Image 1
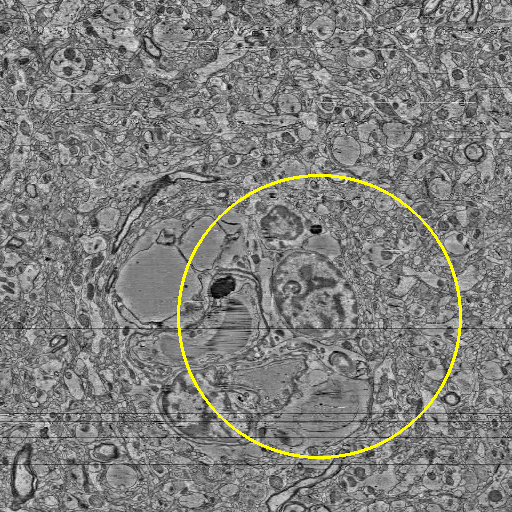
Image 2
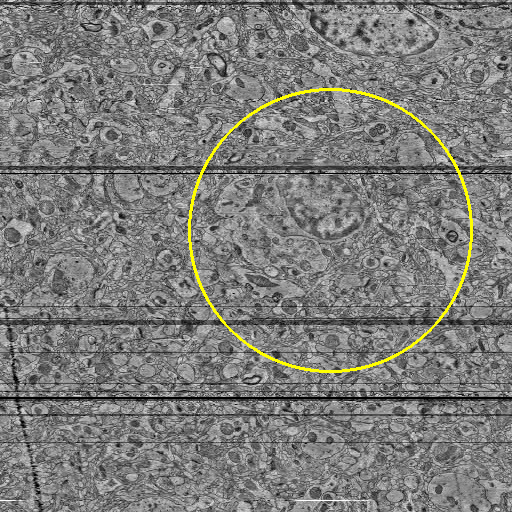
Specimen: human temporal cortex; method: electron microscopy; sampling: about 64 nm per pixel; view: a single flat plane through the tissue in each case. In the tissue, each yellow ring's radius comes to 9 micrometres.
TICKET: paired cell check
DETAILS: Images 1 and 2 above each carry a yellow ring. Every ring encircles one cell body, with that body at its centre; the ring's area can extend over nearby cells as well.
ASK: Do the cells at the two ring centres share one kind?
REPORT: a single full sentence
Yes, the ring-centre cells of Images 1 and 2 belong to a single kind.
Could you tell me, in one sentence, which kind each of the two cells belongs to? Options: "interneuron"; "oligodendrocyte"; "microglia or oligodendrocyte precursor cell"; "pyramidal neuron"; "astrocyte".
Both rings mark an oligodendrocyte, one in each picture.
